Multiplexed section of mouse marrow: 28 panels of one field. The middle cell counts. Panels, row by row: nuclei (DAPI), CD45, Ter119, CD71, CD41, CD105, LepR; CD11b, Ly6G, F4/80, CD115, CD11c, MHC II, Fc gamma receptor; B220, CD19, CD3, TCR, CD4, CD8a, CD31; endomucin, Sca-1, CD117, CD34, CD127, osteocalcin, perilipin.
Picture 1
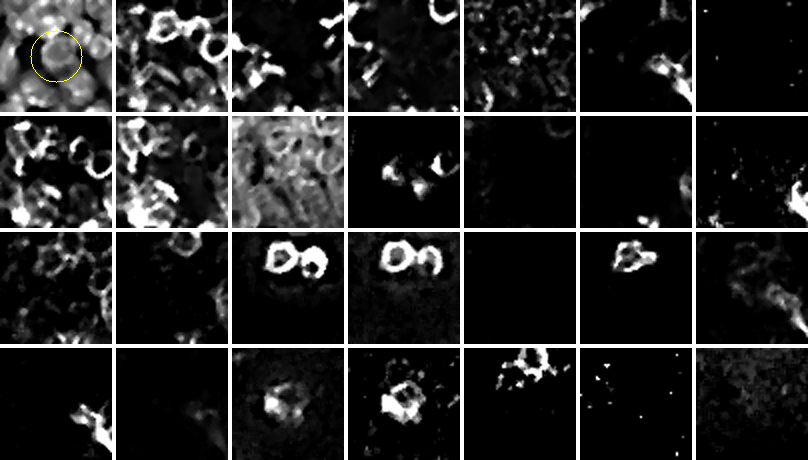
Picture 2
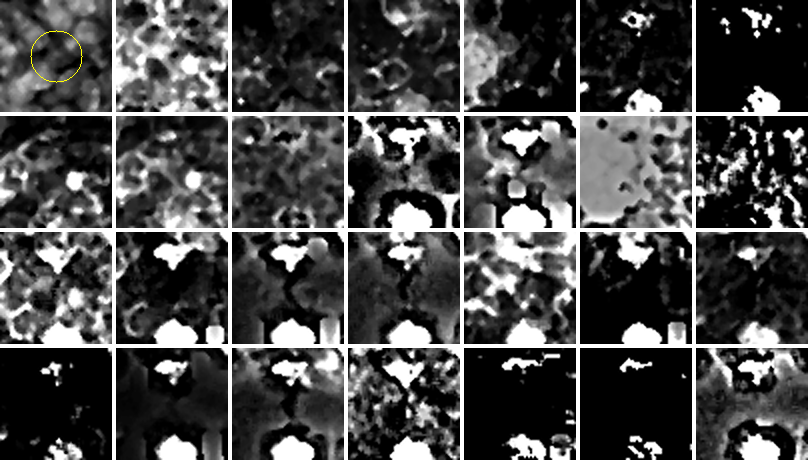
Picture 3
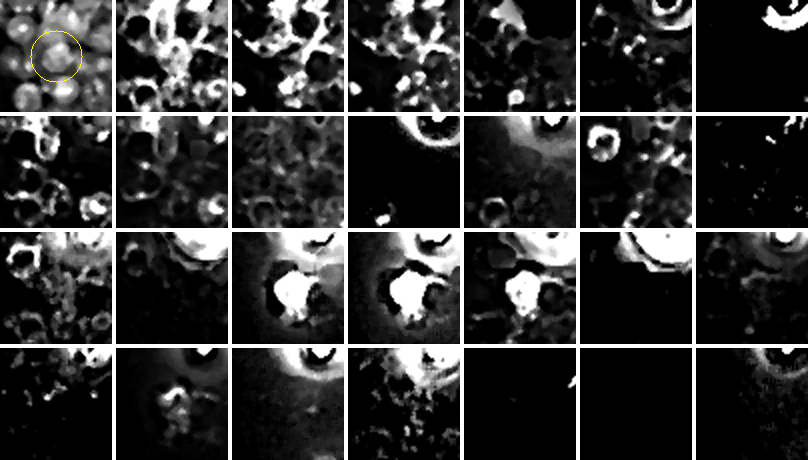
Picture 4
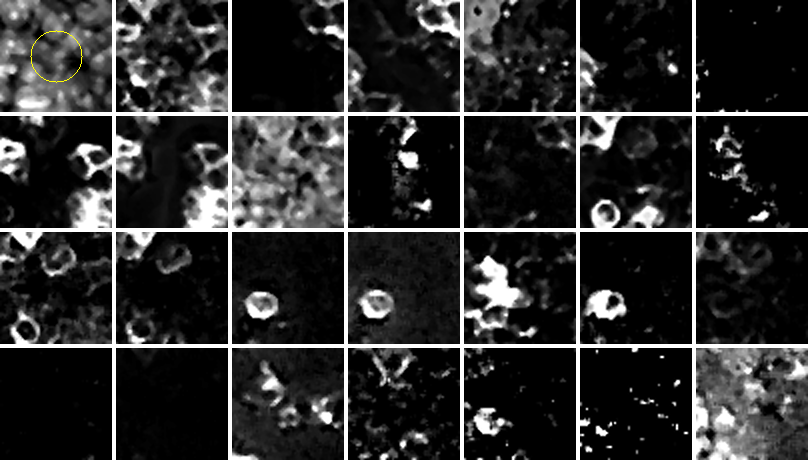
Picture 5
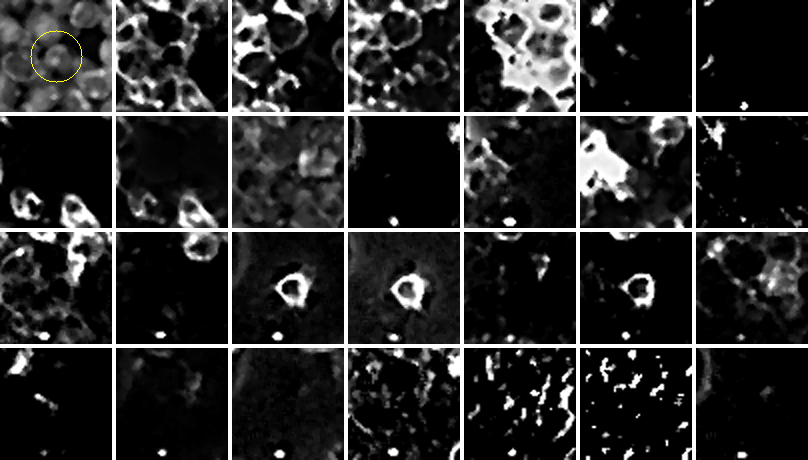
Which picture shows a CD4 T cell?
Picture 3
